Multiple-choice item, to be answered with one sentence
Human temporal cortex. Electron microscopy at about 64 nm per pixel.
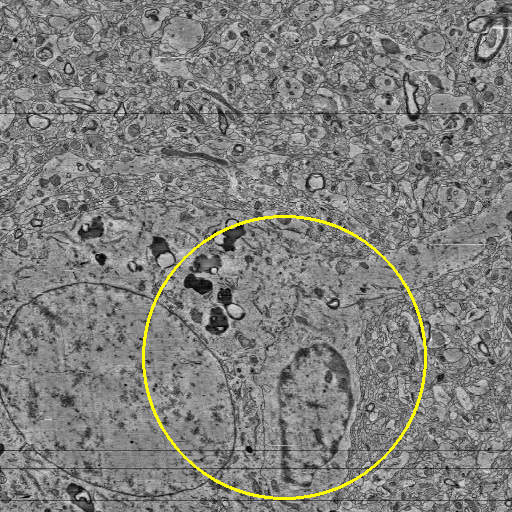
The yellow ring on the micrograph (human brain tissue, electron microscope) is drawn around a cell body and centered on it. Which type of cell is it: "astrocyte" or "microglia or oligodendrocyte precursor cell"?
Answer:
The ring is centered on a microglial cell or oligodendrocyte precursor cell.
